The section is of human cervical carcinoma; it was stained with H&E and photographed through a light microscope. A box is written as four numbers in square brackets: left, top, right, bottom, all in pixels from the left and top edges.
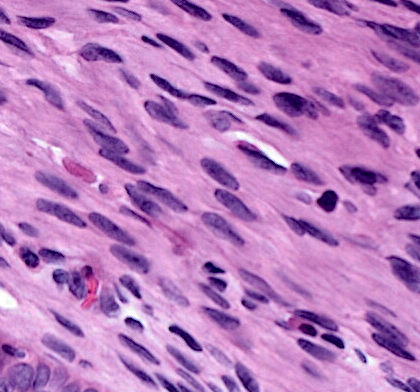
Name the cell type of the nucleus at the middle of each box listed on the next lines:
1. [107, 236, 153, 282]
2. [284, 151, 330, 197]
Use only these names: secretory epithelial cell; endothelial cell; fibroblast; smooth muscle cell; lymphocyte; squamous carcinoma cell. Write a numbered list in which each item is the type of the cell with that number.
1. fibroblast
2. endothelial cell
